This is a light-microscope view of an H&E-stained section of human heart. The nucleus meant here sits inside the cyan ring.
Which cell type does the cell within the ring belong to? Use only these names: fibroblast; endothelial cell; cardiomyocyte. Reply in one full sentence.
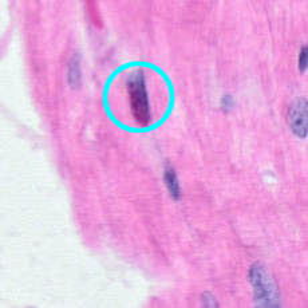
Microscopically, the cell within the ring is categorized as an endothelial cell.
